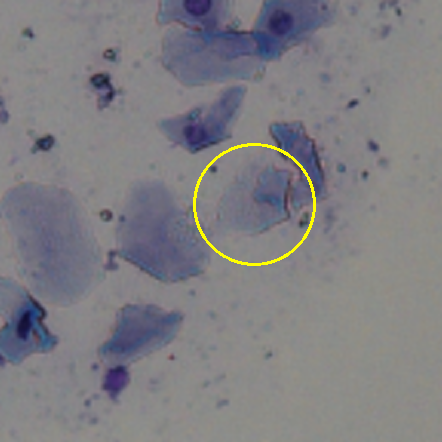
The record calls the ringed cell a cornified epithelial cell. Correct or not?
Correct; it is a cornified epithelial cell.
